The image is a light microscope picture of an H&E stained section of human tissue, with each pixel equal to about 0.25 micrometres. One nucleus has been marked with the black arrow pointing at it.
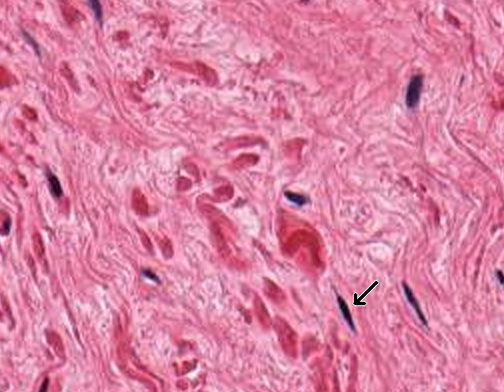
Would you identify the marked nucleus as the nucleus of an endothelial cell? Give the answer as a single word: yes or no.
no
